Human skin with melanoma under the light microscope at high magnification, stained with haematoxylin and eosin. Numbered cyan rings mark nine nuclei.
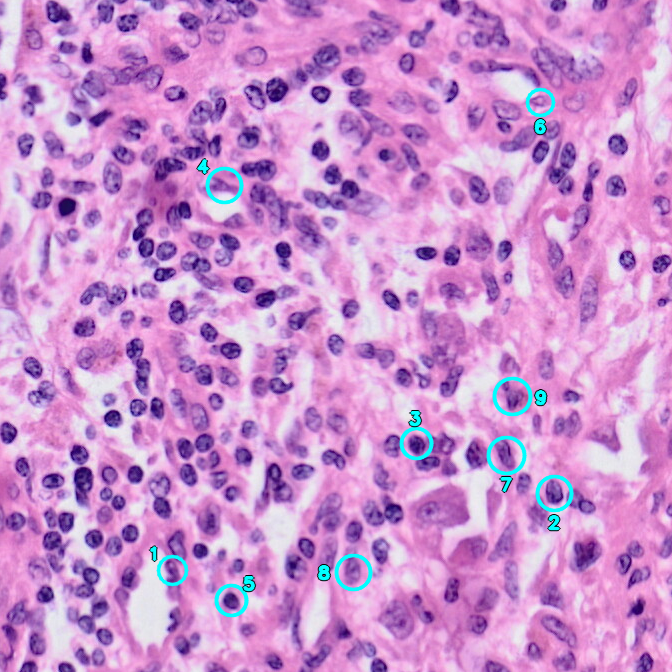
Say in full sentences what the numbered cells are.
Cell 1 is an endothelial cell, cell 2 is a lymphocyte, cell 3 is a lymphocyte, cell 4 is an endothelial cell, cell 5 is a lymphocyte, cell 6 is an endothelial cell, cell 7 is a macrophage or monocyte, cell 8 is a macrophage or monocyte and cell 9 is a macrophage or monocyte.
